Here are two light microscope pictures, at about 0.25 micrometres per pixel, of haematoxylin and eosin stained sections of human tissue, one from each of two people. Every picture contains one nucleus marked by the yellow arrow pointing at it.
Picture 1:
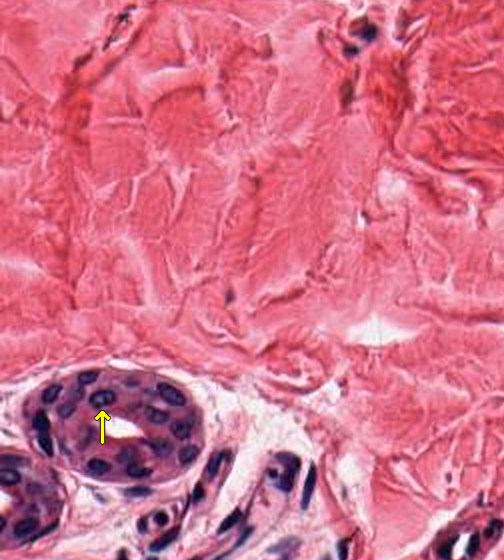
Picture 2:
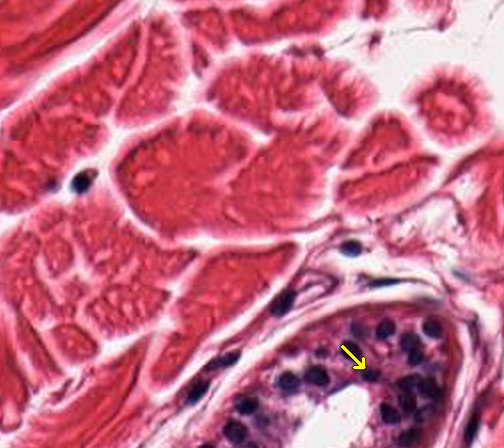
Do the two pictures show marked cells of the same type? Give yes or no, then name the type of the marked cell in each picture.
Yes, both are sweat gland cells.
